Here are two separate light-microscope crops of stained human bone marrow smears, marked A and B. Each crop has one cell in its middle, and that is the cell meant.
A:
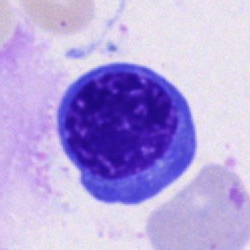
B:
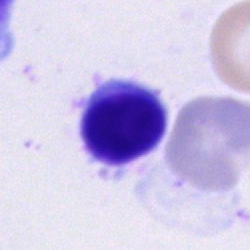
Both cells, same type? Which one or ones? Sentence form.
No, a lymphocyte is depicted in crop B, whereas an erythroblast is depicted in crop A.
